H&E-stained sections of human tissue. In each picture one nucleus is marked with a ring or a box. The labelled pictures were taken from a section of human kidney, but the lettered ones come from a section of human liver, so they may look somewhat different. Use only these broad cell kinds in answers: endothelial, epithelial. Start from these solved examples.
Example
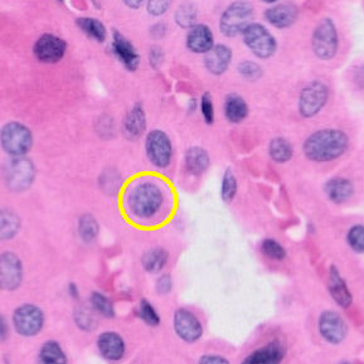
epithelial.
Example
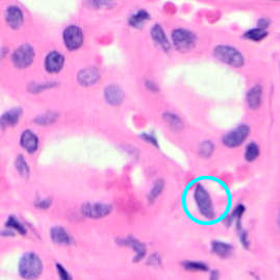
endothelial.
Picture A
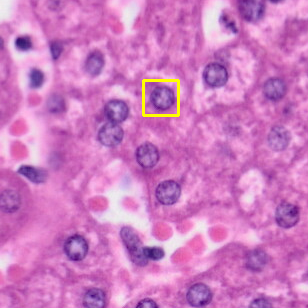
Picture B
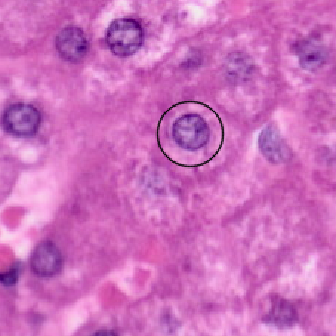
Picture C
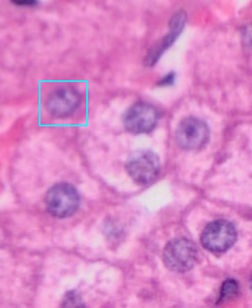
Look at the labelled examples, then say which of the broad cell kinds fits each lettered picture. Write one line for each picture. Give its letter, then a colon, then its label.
A: epithelial.
B: epithelial.
C: epithelial.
